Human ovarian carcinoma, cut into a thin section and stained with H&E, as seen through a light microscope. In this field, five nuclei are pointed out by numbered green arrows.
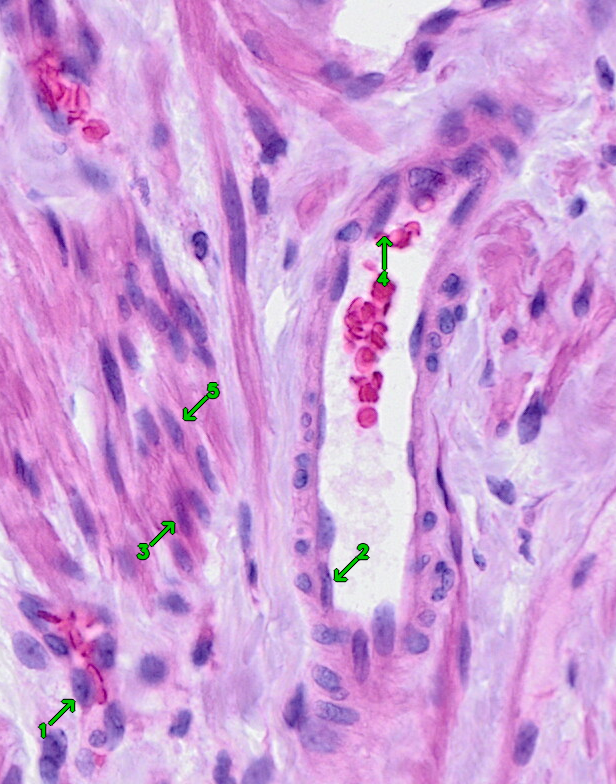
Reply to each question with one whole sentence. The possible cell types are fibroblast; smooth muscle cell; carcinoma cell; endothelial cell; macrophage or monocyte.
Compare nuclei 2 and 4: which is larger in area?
It is nucleus 4, which covers about 1.5 times the area of nucleus 2.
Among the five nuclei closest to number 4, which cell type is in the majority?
The majority of the five nuclei closest to number 4 belong to endothelial cells.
